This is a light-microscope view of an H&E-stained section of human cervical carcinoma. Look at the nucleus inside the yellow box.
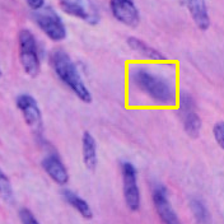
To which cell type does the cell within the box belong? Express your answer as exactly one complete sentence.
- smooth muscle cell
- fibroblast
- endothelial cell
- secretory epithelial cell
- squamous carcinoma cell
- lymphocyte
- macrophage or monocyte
In this section of tissue, the cell within the box is a fibroblast.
